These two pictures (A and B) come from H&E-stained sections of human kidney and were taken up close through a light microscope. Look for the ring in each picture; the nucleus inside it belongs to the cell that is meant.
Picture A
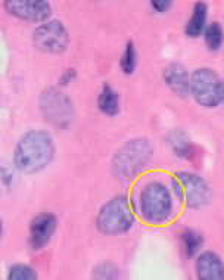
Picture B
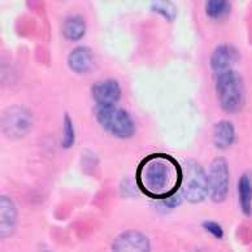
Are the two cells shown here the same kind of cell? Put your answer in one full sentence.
Yes, they are the same type: both are collecting duct cells.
